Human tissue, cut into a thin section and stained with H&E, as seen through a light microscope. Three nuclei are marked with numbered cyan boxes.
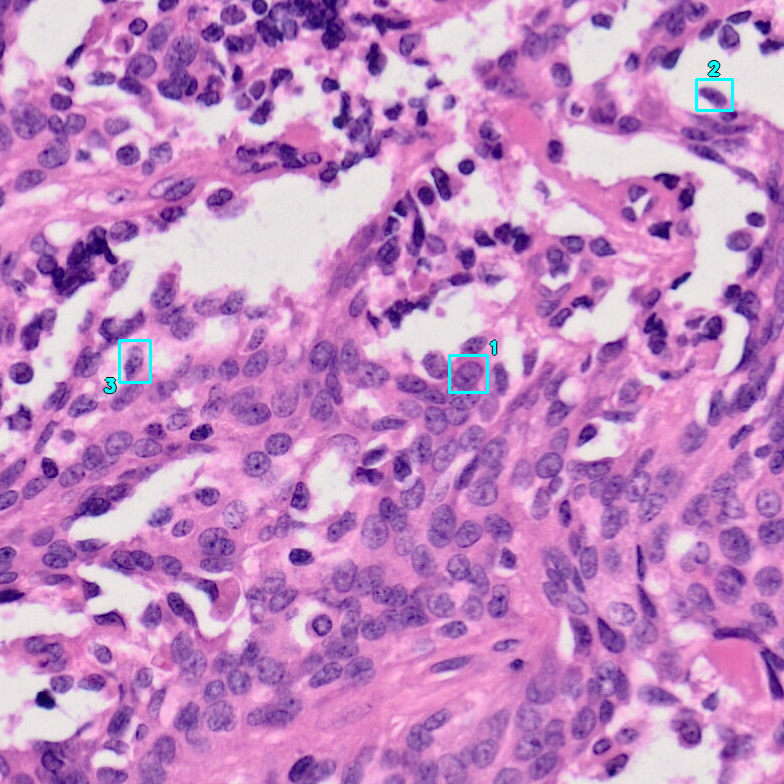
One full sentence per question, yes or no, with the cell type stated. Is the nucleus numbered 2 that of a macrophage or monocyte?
No, the cell under number 2 is a carcinoma cell instead of a macrophage or monocyte.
